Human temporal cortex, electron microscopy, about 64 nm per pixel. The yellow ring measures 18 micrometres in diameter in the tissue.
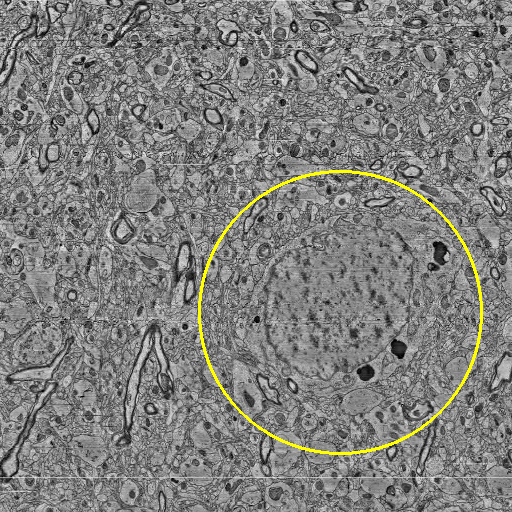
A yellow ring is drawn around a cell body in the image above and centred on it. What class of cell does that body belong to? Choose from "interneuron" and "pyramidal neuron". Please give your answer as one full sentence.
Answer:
The yellow ring above is centred on the cell body of an interneuron.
